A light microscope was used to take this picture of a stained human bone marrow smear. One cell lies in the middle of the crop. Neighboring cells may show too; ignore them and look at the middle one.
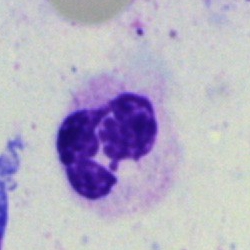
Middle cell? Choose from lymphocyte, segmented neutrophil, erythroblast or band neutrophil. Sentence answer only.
The cell featured at the centre of this crop is a segmented neutrophil.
